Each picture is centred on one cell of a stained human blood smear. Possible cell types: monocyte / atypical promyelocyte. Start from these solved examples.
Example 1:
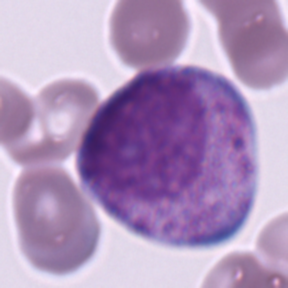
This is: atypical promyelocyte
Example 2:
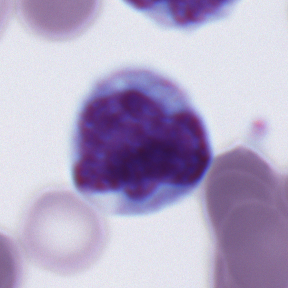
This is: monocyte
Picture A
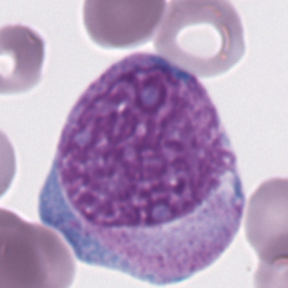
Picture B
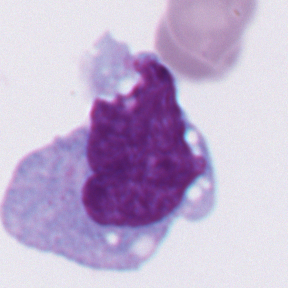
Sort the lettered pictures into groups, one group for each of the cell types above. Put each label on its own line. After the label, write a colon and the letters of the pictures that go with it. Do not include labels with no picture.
monocyte: B
atypical promyelocyte: A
